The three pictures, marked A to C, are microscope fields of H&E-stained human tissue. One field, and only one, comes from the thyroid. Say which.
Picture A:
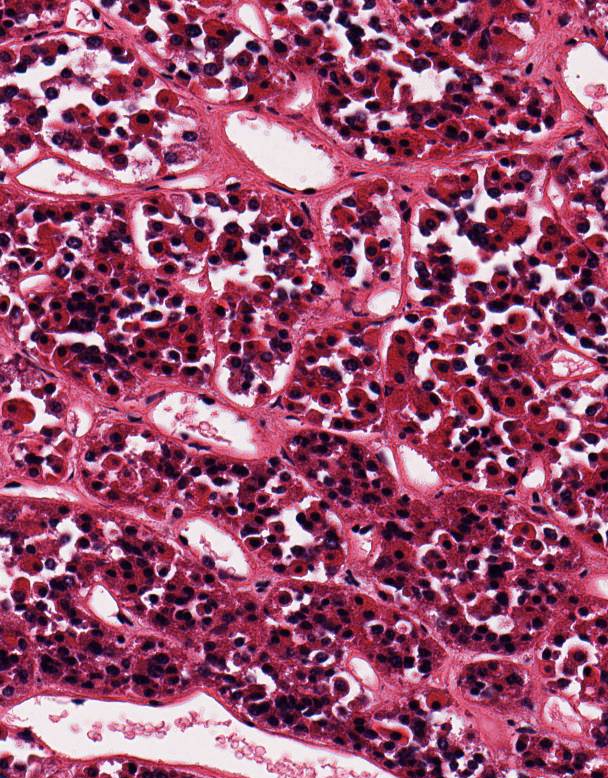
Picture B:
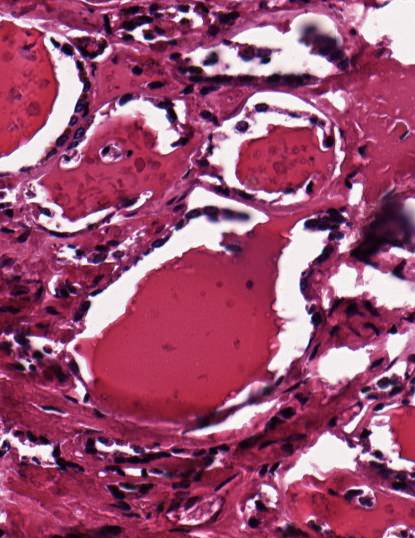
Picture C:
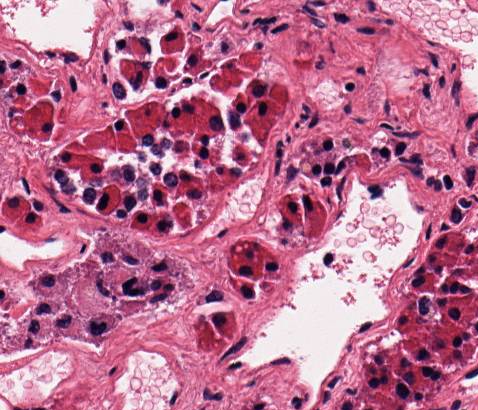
B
